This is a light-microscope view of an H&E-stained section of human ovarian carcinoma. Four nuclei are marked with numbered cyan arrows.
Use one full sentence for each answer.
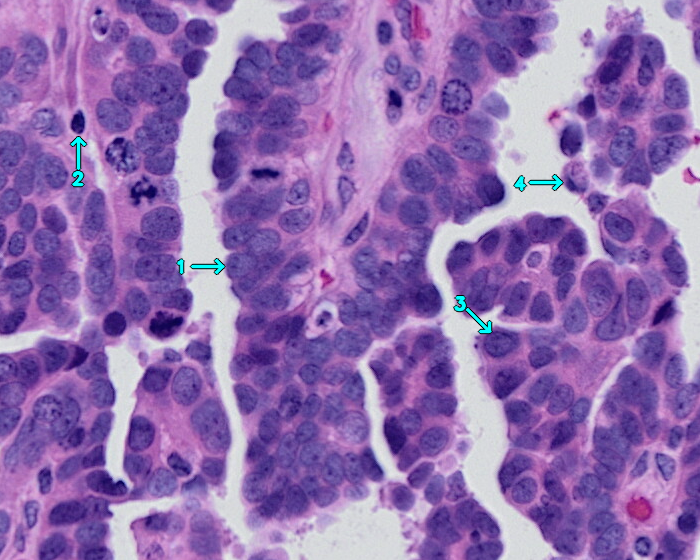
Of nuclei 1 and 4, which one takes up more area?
Nucleus 1 covers more area, about 1.5 times as much as nucleus 4.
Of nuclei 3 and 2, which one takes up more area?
Nucleus 3 is larger, with an area about 3 times that of nucleus 2.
